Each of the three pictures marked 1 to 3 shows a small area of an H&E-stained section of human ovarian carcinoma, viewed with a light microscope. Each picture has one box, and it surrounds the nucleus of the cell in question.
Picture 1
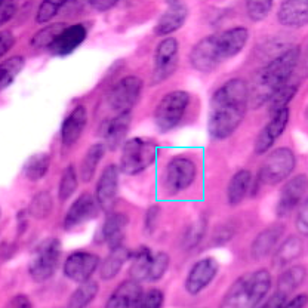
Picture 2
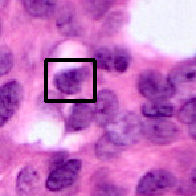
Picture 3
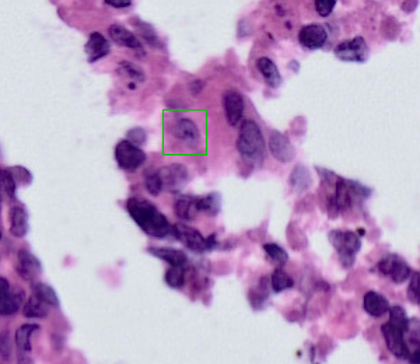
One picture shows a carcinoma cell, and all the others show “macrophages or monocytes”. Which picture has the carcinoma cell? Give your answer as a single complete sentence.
The cell in picture 2 is the carcinoma cell.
